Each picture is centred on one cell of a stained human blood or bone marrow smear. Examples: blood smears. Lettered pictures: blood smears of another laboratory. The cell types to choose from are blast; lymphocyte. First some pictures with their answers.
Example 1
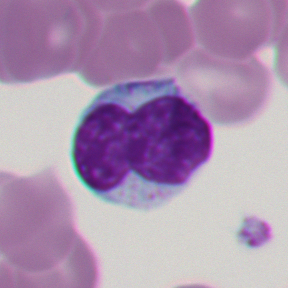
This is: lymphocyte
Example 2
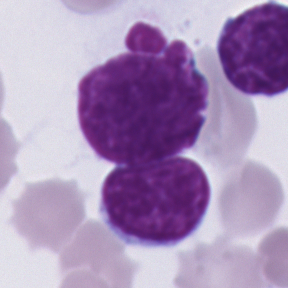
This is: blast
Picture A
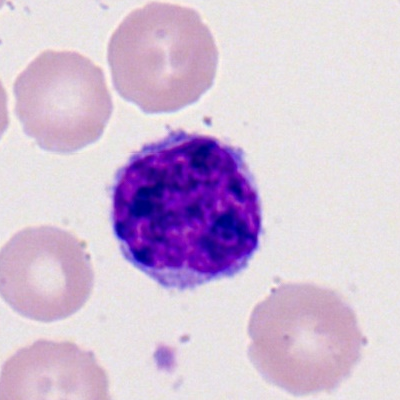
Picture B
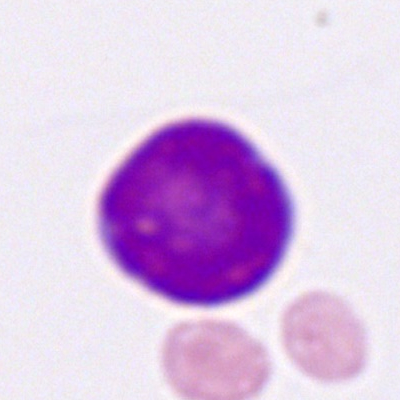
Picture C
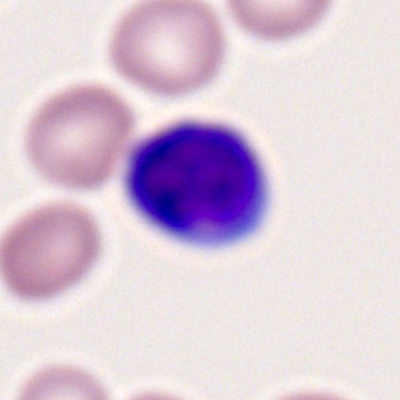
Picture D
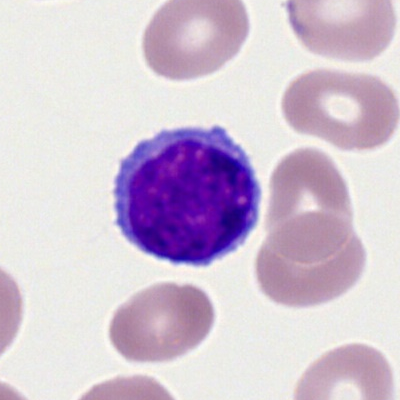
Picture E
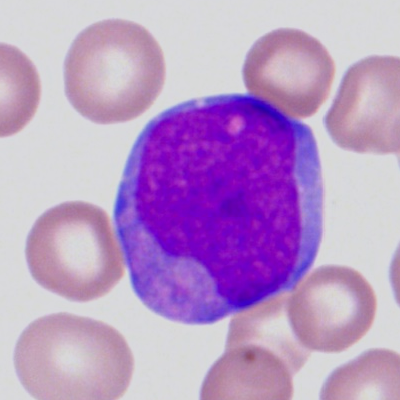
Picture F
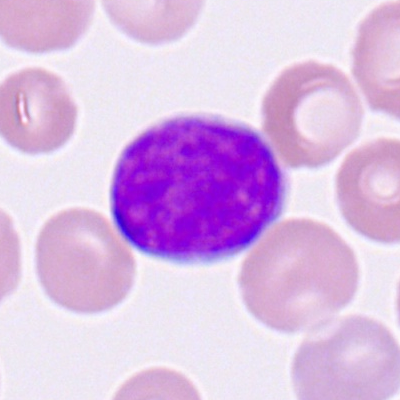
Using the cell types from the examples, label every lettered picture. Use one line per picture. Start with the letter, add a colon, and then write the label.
A: lymphocyte
B: blast
C: lymphocyte
D: lymphocyte
E: blast
F: blast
